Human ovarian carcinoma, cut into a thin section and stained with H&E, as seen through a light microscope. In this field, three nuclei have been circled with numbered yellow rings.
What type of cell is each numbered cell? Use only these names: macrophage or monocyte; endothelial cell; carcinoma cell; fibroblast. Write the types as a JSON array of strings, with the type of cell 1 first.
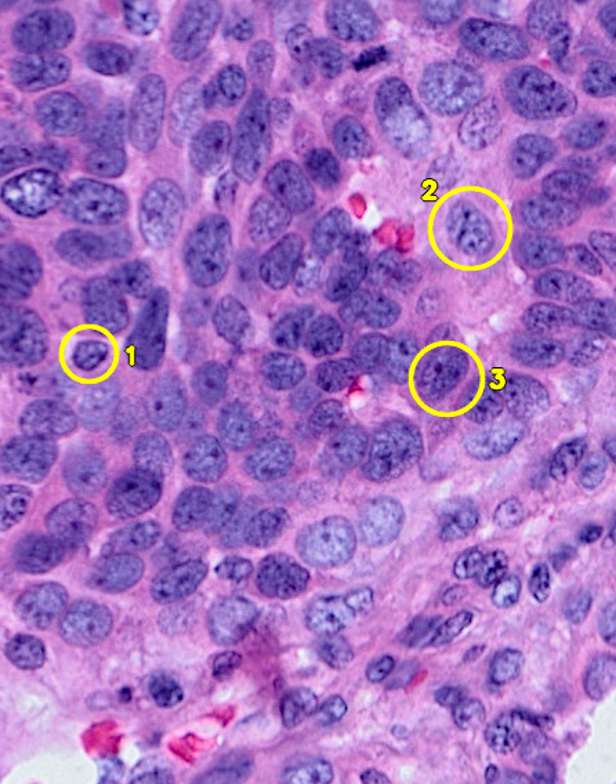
["macrophage or monocyte", "fibroblast", "carcinoma cell"]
